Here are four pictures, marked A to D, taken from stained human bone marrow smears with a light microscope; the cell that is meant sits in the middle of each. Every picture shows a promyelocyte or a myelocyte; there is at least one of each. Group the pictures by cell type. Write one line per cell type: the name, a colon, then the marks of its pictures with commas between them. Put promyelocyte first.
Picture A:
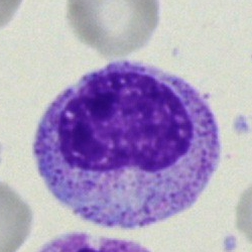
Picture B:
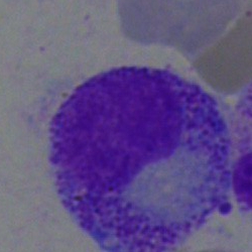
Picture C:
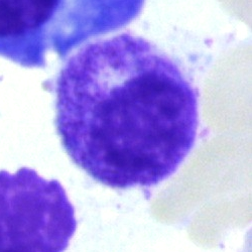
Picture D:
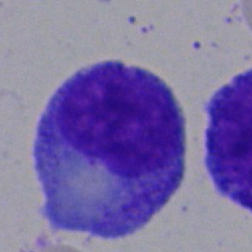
promyelocyte: D
myelocyte: A, B, C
